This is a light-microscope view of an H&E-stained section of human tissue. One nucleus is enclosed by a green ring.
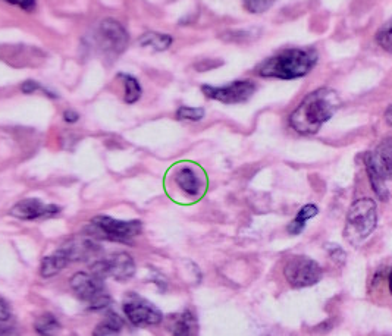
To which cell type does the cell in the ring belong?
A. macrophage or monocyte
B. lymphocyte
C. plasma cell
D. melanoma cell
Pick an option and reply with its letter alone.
A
